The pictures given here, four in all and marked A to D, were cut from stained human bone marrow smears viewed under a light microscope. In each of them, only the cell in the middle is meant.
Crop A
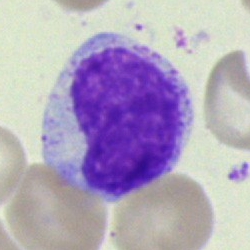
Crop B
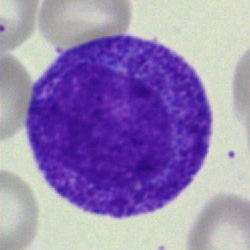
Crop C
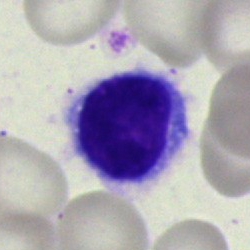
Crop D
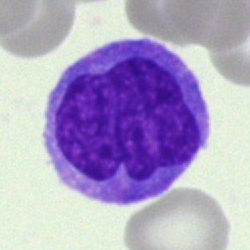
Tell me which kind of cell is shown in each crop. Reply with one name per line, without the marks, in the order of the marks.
myelocyte
promyelocyte
hairy cell
monocyte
